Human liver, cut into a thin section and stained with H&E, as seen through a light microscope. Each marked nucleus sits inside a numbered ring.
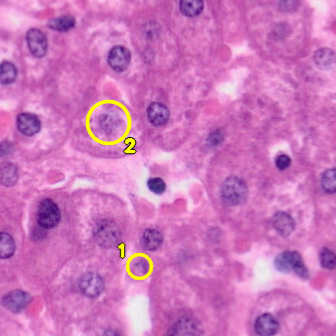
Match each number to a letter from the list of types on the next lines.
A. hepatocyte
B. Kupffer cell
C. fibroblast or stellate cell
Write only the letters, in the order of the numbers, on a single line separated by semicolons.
B; A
